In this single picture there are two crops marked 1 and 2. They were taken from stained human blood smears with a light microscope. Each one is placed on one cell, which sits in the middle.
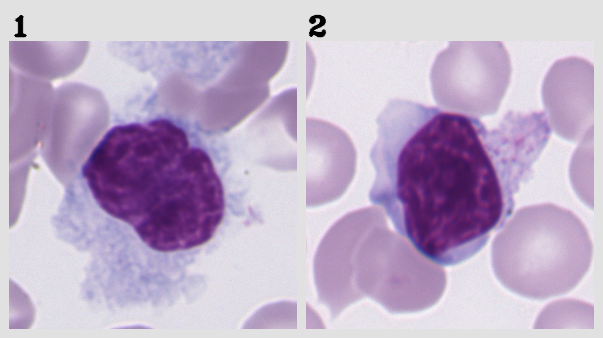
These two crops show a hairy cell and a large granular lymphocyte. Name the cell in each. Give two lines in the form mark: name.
1: hairy cell
2: large granular lymphocyte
